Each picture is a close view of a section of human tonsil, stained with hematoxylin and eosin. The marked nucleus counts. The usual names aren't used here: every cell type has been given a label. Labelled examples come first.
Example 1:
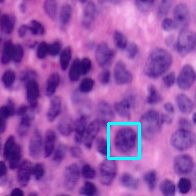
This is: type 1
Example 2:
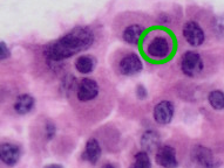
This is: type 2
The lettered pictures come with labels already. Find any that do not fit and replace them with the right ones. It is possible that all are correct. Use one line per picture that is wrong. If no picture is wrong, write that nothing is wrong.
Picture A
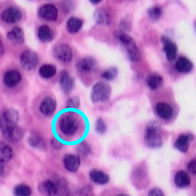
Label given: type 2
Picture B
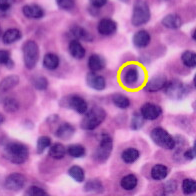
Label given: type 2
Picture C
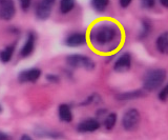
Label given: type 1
C: change type 1 to type 2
